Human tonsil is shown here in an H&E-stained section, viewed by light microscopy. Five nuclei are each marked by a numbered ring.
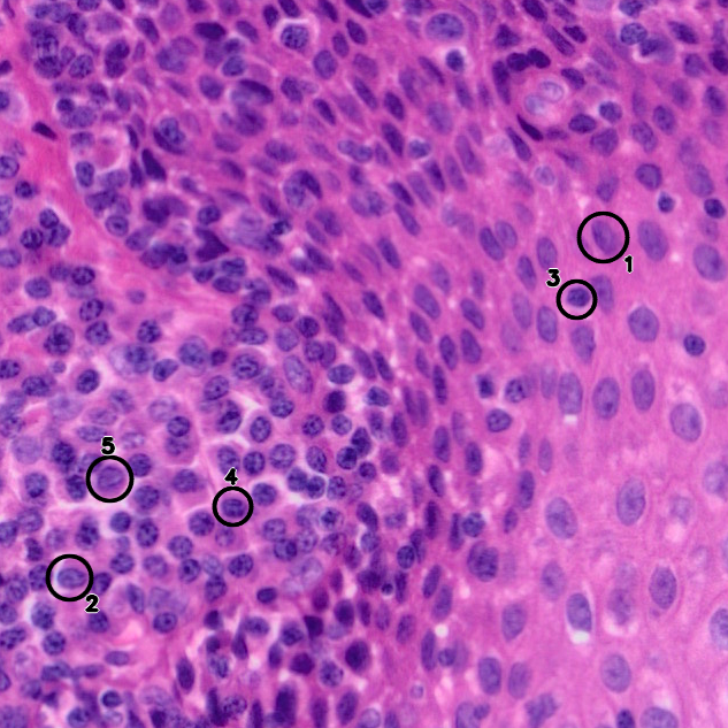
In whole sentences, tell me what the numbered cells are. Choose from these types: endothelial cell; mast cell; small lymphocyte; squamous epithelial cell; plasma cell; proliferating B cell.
Cells 1 and 3 are squamous epithelial cells. Cells 2, 4 and 5 are plasma cells.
